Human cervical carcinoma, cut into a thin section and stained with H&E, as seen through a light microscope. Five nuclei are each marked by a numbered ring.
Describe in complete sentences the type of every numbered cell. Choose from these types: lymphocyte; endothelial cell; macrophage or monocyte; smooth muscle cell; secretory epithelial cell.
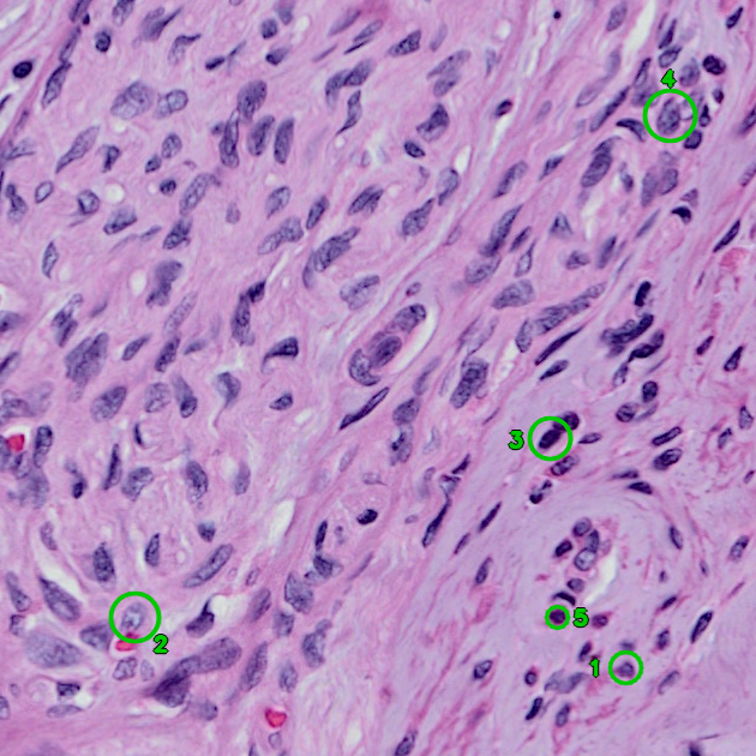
Cell 1 is a smooth muscle cell, cell 2 is an endothelial cell, cell 3 is a lymphocyte, cell 4 is an endothelial cell and cell 5 is a smooth muscle cell.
